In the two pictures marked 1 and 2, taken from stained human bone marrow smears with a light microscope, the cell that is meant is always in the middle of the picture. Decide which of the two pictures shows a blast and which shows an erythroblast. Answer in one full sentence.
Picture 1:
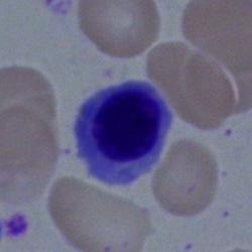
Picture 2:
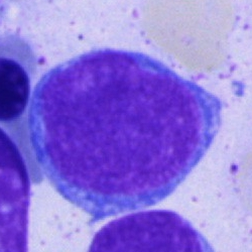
Picture 1 is of an erythroblast, and picture 2 is of a blast.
